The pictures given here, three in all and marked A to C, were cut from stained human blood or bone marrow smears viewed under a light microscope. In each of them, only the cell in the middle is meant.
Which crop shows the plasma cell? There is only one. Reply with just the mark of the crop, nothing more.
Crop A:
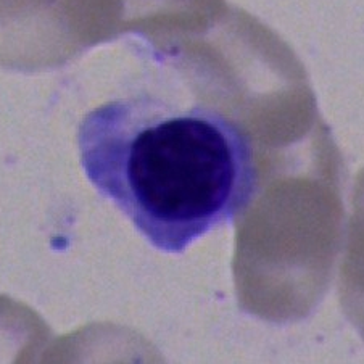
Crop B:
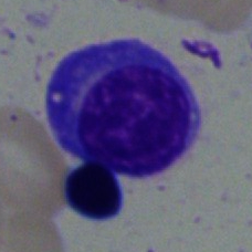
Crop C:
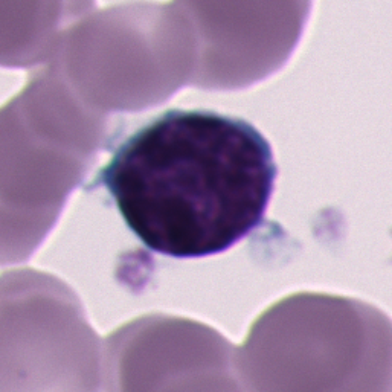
B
